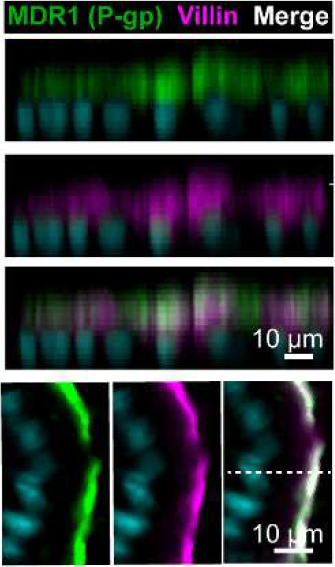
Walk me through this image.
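In the lower images the cells line a curved fold, their cyan nuclei crowded beneath a thin, sharp green and magenta line along the luminal edge, which appears white where the colours merge. This is a polarized epithelial monolayer and the lining of a villi-like structure, with both signals confined to the luminal cell surface.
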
